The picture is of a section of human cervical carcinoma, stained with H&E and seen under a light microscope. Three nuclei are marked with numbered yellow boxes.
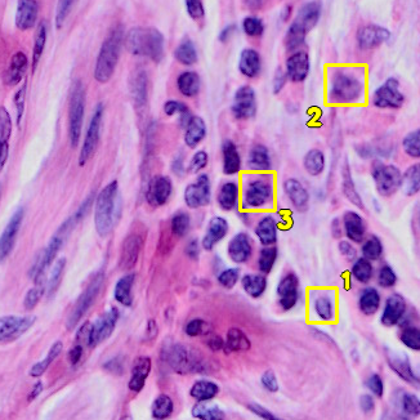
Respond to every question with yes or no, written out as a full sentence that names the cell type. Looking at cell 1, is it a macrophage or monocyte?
No, the cell given number 1 is a lymphocyte, as opposed to a macrophage or monocyte.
